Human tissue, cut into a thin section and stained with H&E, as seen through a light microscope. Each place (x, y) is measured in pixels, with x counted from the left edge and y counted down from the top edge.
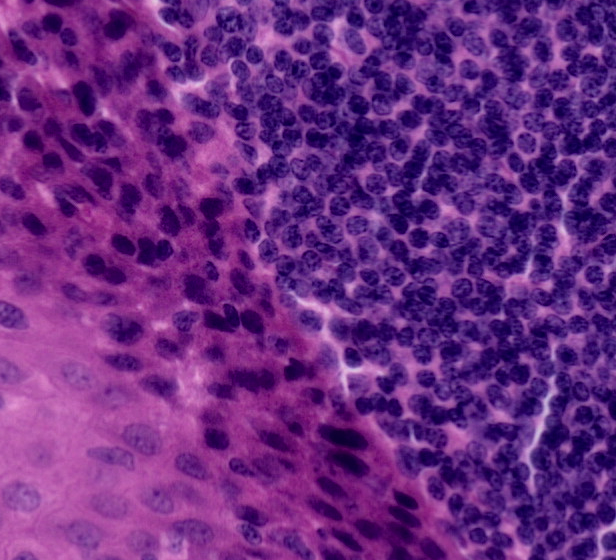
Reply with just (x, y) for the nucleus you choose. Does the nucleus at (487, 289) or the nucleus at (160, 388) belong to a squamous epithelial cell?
(160, 388)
